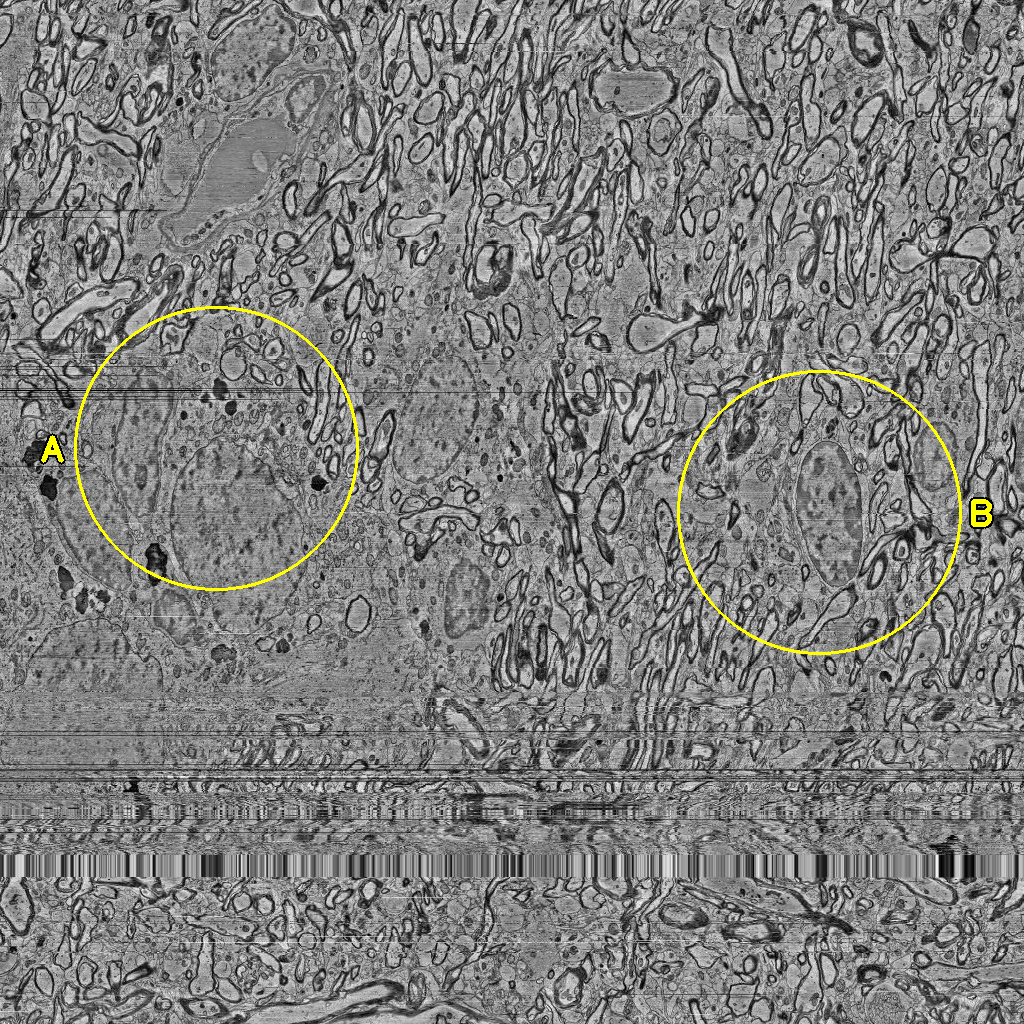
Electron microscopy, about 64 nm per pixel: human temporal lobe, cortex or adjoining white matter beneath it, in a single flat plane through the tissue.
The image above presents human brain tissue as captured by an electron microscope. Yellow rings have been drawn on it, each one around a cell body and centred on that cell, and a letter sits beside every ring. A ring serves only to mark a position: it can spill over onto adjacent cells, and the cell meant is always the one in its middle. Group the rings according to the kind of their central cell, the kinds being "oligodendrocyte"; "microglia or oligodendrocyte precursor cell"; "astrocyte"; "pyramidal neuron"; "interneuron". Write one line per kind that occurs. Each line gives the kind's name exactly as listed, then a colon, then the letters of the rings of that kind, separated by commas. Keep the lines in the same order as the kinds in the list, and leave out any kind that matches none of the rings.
microglia or oligodendrocyte precursor cell: B
interneuron: A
